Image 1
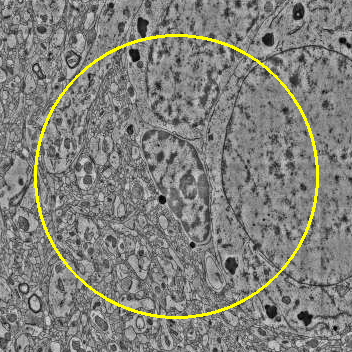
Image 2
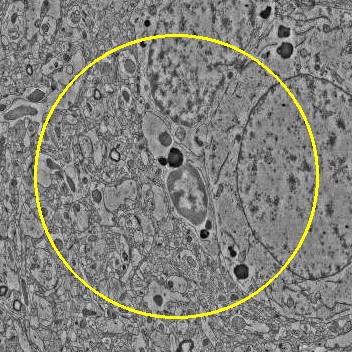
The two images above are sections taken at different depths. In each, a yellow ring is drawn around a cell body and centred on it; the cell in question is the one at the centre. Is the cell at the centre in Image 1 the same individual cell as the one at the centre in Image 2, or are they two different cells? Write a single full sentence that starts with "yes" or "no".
Yes, the second ring marks the same cell as the first.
